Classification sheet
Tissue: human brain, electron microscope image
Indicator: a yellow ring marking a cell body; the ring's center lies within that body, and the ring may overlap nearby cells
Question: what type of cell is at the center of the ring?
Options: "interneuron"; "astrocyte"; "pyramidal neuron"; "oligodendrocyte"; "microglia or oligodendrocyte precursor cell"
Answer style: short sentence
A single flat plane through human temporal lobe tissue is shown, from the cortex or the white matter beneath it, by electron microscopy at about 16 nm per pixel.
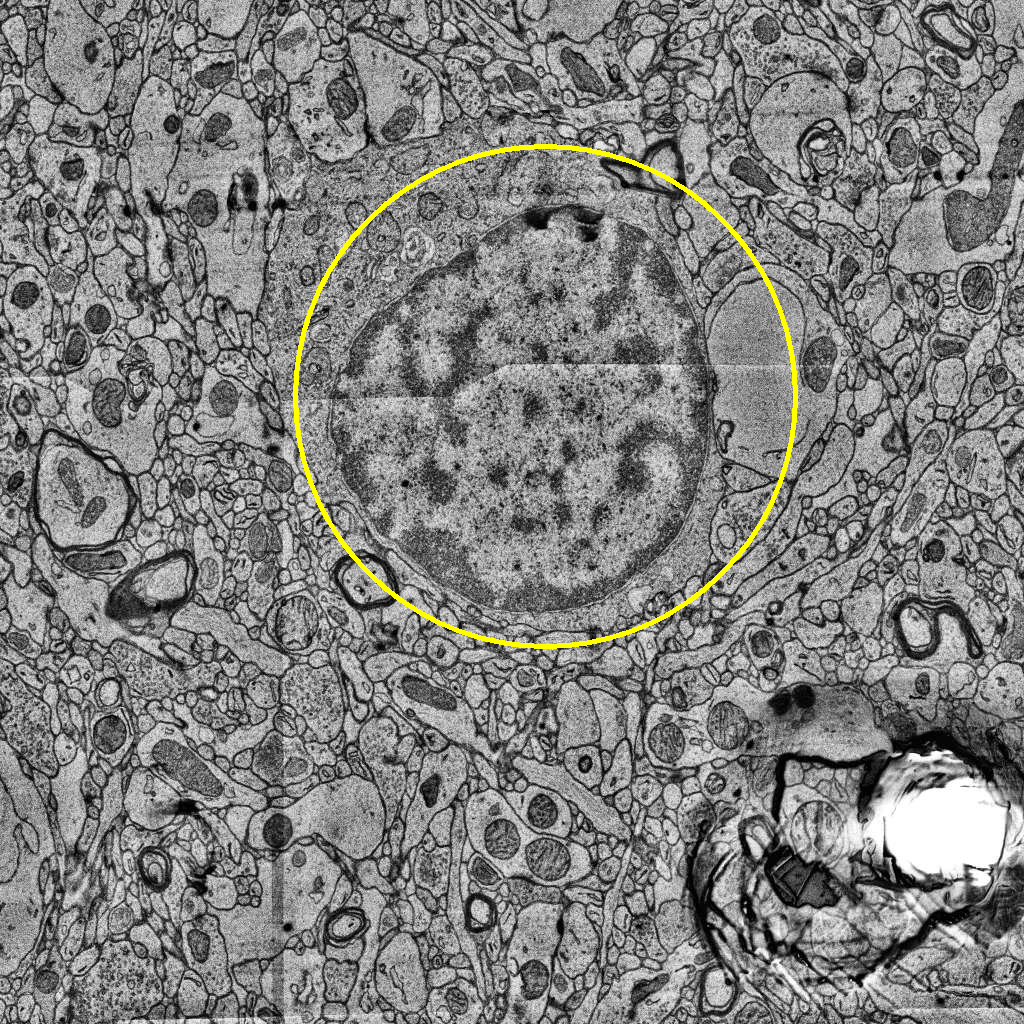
At the ring's center is an oligodendrocyte.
